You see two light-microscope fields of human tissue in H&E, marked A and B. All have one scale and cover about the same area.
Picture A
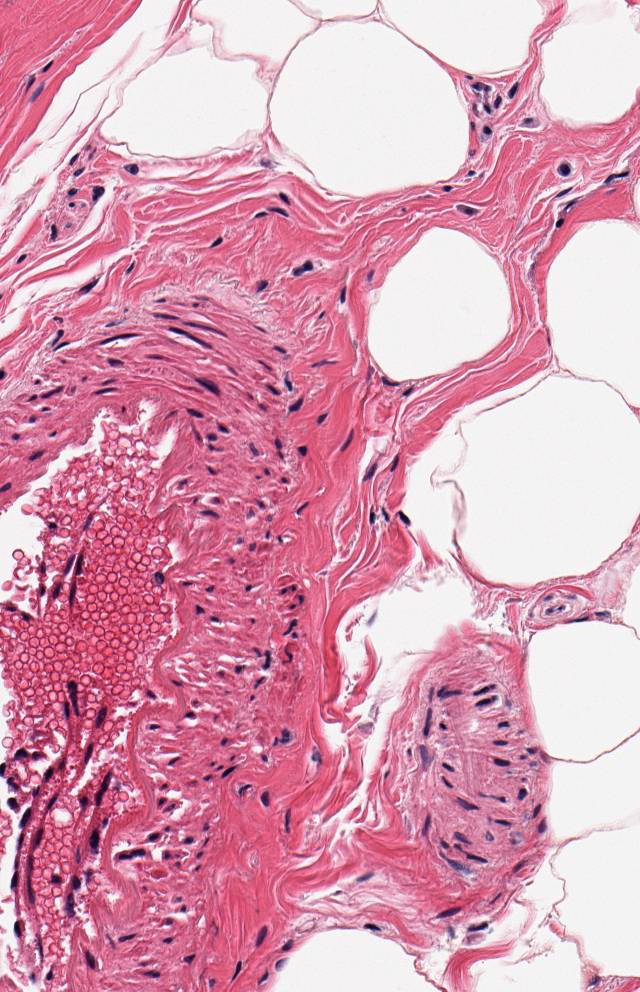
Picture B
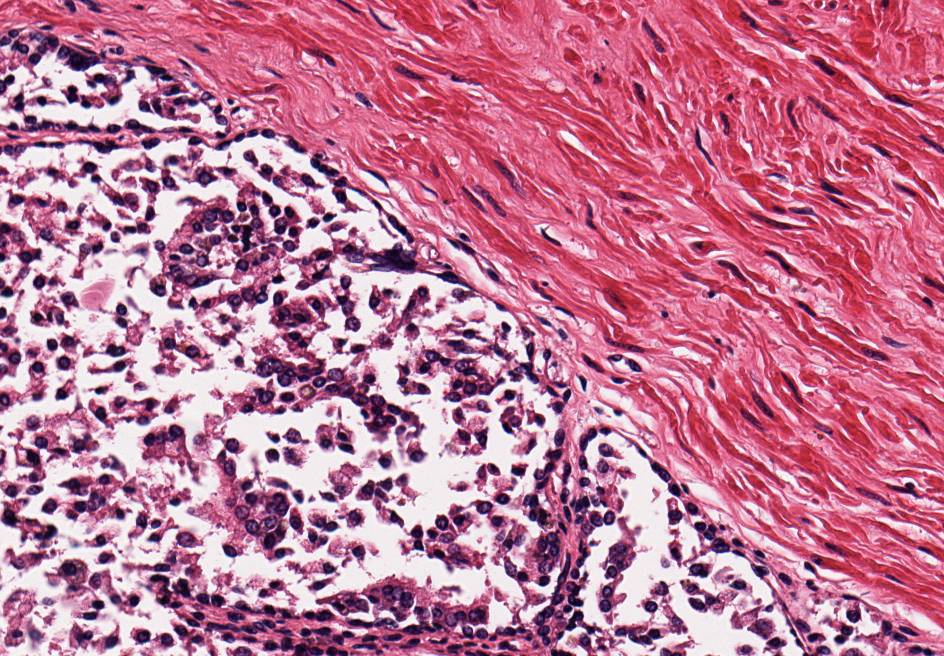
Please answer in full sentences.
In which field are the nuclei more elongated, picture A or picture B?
On the whole the nuclei of picture A are more drawn out than those of picture B.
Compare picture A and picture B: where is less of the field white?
Unstained space takes up less of picture B than of picture A.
